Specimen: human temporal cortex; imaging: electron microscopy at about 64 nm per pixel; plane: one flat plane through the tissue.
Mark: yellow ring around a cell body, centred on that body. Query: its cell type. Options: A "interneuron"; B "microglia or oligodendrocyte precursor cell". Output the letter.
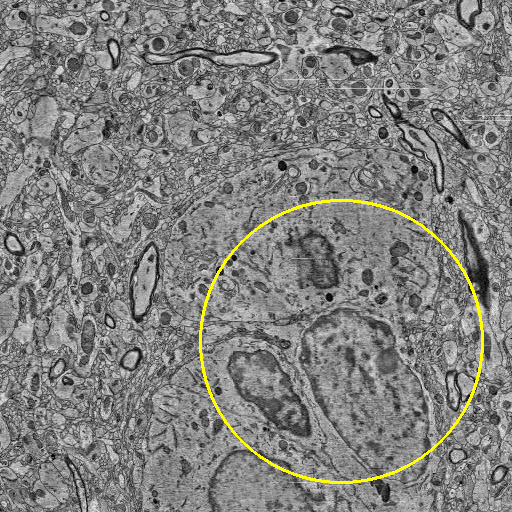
B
